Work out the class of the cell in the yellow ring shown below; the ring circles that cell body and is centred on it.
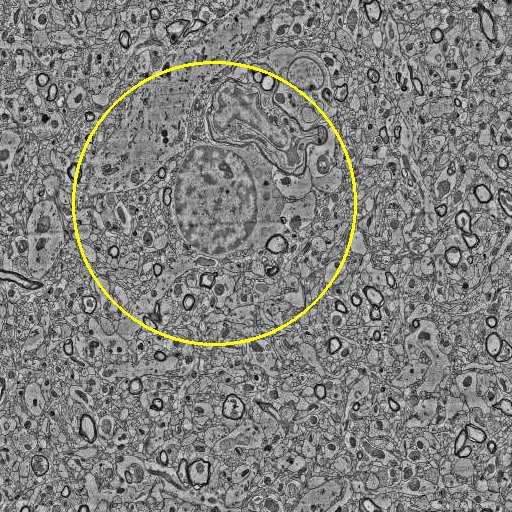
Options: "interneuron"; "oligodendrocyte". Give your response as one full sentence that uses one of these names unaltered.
The body ringed in yellow, right at the ring's centre, is that of an oligodendrocyte.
